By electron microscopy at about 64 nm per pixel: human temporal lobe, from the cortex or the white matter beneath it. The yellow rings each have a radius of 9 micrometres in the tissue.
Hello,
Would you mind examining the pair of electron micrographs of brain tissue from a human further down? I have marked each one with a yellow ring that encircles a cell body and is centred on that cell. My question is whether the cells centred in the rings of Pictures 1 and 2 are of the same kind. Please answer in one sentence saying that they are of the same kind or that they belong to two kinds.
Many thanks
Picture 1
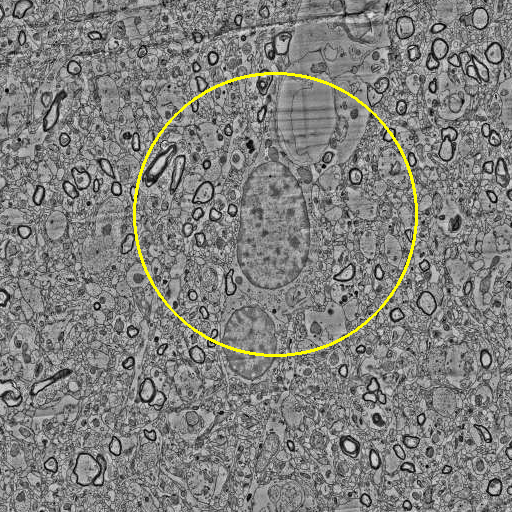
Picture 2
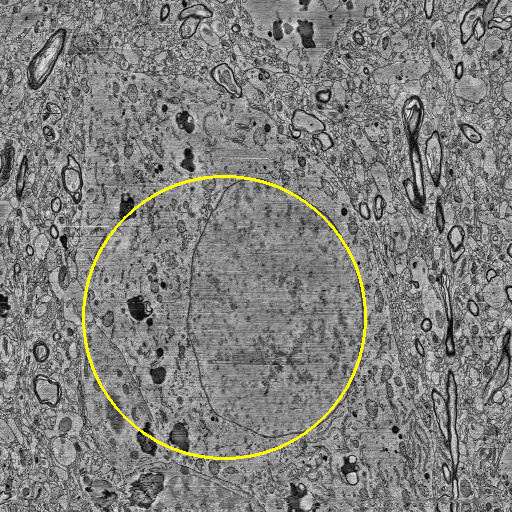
In Pictures 1 and 2, the cells at the heart of the rings belong to two kinds.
